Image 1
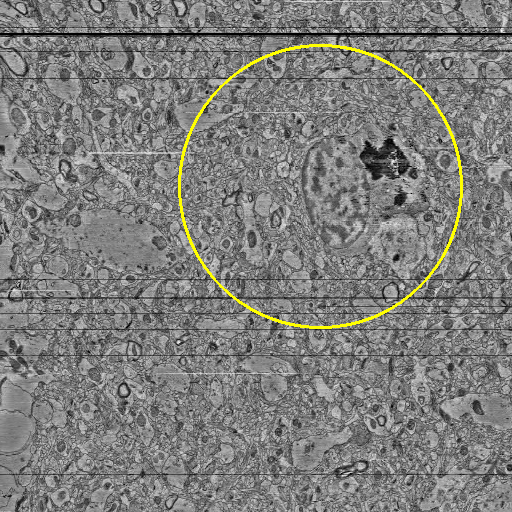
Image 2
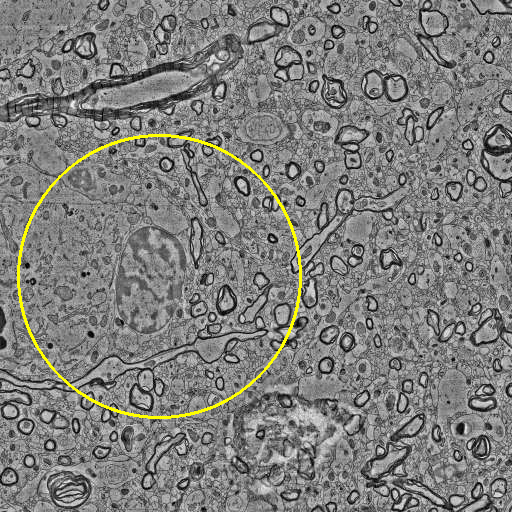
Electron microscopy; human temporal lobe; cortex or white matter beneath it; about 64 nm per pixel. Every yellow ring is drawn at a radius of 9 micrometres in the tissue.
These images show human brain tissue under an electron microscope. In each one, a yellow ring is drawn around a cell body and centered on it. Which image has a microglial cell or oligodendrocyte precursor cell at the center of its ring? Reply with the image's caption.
Image 2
